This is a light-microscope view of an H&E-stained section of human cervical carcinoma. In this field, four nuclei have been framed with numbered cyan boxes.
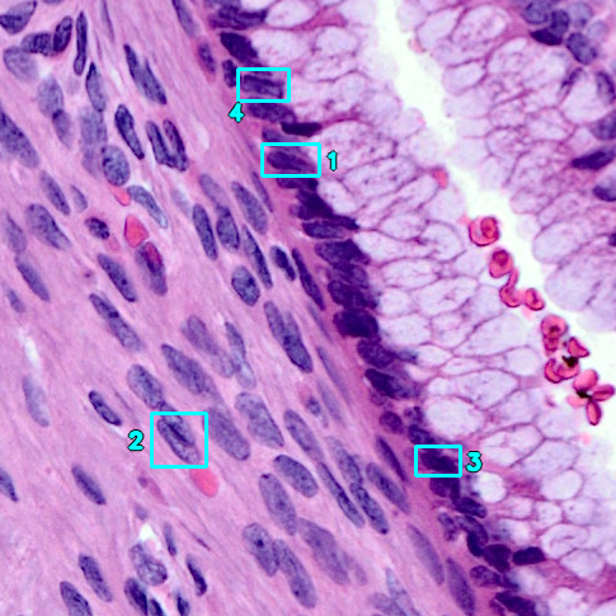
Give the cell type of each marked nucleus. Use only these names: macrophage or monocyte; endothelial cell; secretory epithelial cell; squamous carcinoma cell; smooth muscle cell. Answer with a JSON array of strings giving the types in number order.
["secretory epithelial cell", "endothelial cell", "secretory epithelial cell", "secretory epithelial cell"]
